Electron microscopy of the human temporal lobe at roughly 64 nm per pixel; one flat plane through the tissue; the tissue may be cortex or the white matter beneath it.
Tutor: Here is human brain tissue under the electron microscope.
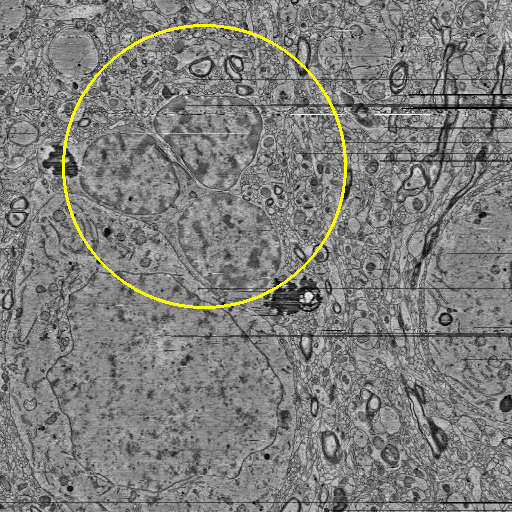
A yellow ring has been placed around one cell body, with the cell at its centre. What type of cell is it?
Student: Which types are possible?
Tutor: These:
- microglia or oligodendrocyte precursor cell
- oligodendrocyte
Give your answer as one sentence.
What the ring picks out here is a microglial cell or oligodendrocyte precursor cell.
